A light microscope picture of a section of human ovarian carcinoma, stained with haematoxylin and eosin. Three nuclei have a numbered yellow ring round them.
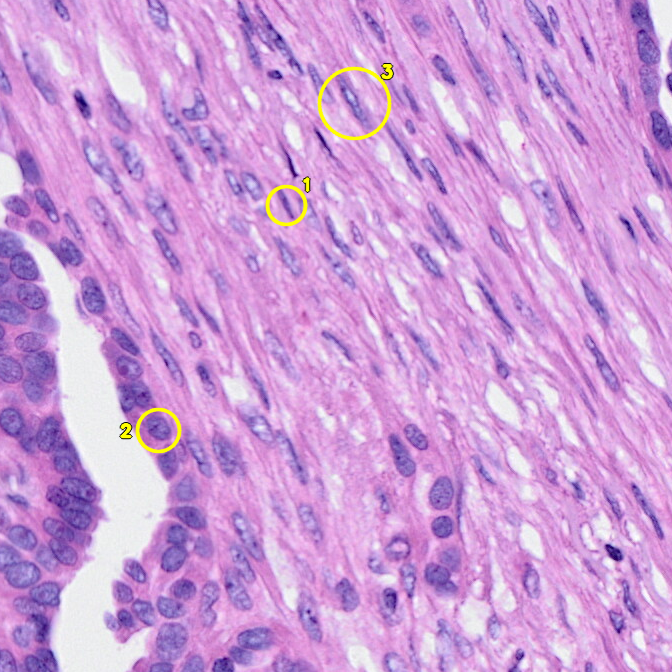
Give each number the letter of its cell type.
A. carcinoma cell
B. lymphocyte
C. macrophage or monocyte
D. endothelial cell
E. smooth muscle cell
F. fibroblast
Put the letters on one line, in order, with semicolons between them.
F; A; F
